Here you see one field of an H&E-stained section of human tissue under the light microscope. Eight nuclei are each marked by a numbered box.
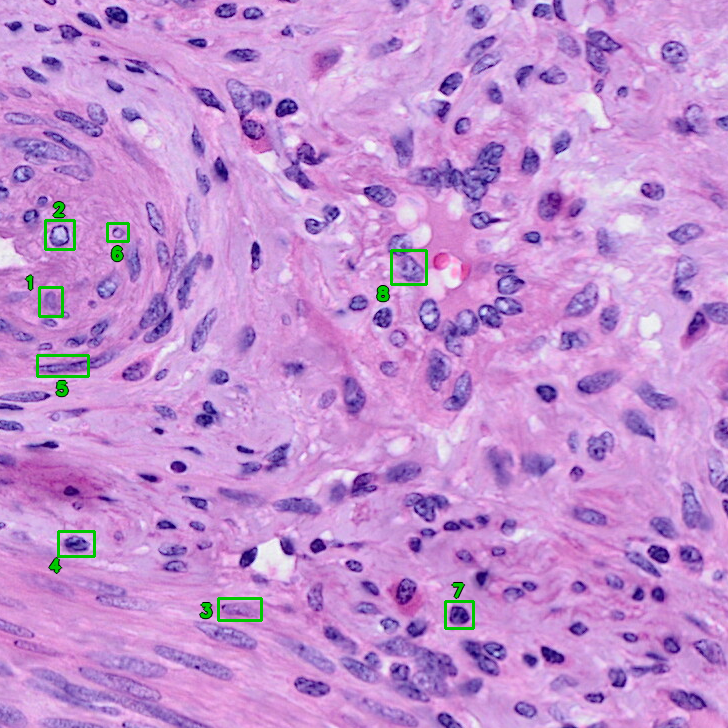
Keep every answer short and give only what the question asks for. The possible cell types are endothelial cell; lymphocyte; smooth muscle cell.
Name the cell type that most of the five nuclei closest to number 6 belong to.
smooth muscle cell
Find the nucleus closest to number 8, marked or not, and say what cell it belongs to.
endothelial cell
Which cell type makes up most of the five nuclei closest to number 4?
smooth muscle cell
